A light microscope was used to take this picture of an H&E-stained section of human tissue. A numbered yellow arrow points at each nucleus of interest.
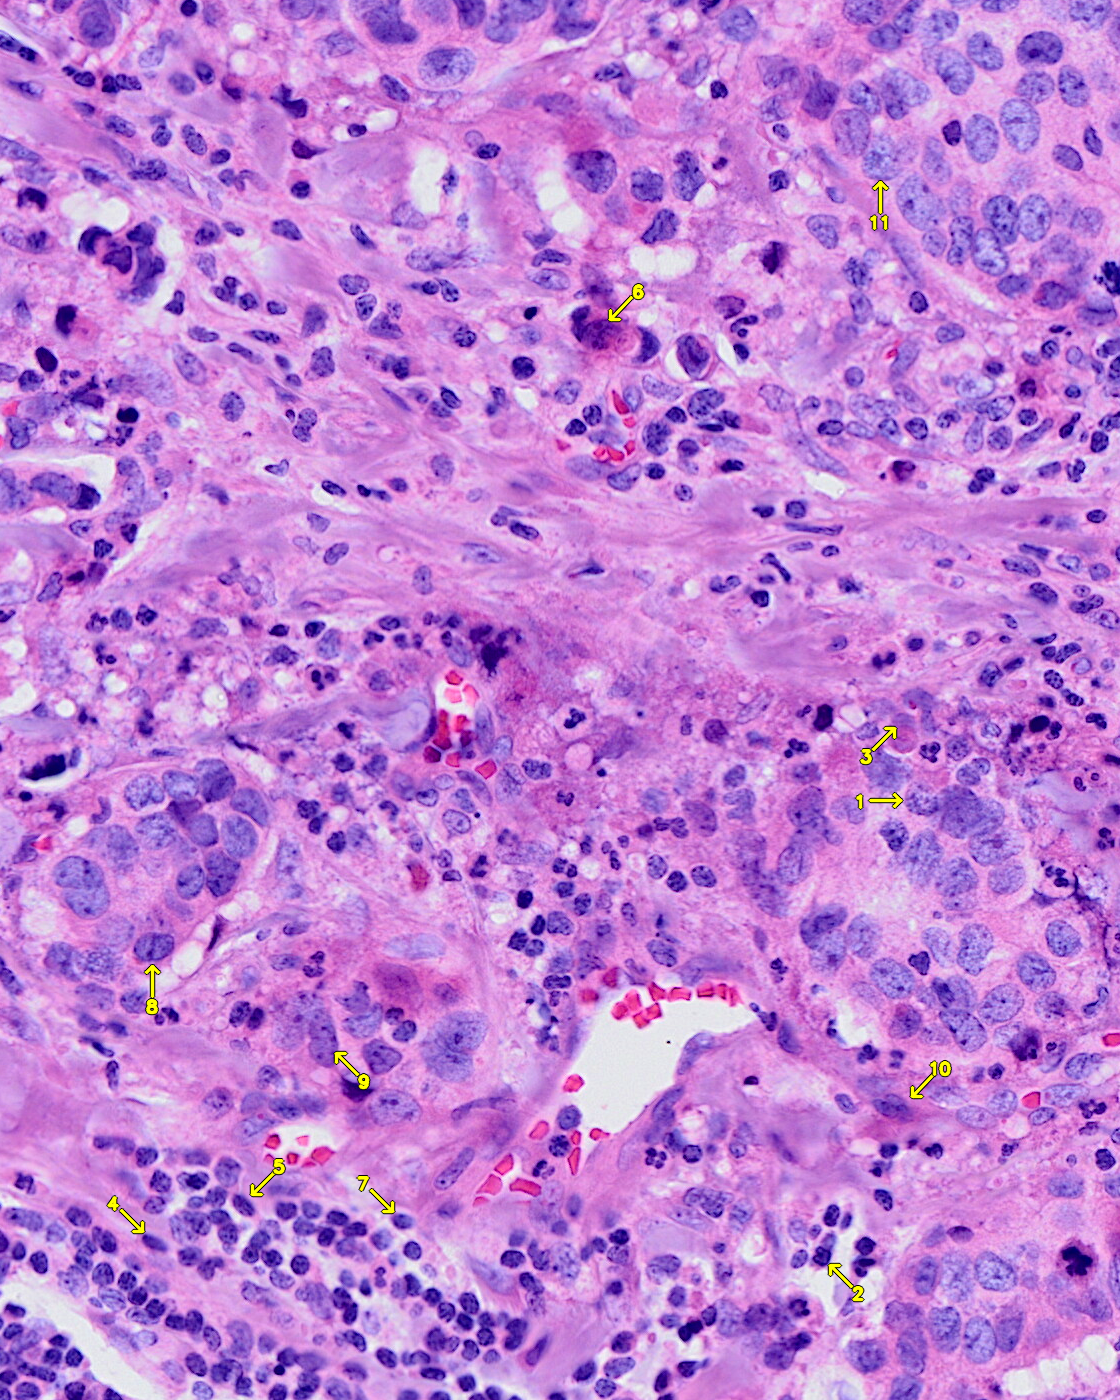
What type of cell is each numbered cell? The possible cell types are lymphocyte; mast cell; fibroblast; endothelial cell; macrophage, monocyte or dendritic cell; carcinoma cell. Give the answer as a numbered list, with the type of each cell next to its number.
1. carcinoma cell
2. lymphocyte
3. endothelial cell
4. lymphocyte
5. lymphocyte
6. carcinoma cell
7. lymphocyte
8. carcinoma cell
9. carcinoma cell
10. endothelial cell
11. carcinoma cell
